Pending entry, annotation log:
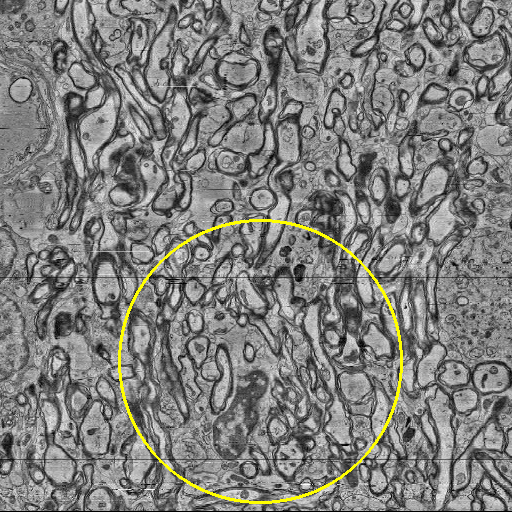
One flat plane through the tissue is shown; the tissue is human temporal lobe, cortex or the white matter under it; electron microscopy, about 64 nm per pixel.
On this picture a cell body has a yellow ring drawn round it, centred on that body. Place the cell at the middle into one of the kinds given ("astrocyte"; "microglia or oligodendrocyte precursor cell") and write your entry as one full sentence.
The cell body at the middle of the yellow ring belongs to a microglial cell or oligodendrocyte precursor cell.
